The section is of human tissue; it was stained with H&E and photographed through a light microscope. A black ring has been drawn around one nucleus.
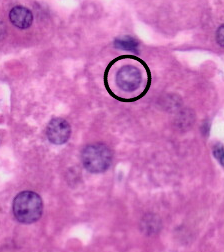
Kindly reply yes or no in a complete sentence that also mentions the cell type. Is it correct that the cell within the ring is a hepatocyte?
Yes, correct on this one: the cell within the ring is a hepatocyte.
